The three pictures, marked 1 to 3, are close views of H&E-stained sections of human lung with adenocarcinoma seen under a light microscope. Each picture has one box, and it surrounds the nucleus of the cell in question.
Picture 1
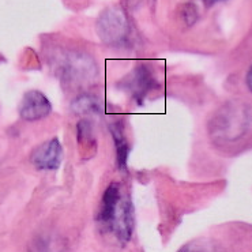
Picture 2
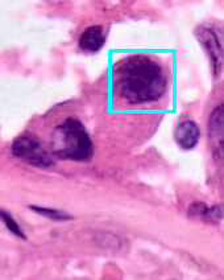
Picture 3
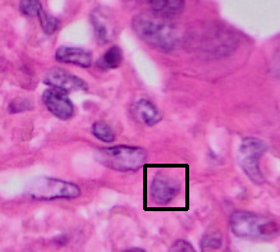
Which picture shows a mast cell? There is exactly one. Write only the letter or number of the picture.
3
